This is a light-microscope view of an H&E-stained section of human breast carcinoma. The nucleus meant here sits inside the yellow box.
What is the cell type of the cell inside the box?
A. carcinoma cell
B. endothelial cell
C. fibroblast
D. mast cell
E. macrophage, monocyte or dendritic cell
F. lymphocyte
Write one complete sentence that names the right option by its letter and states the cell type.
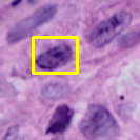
The statement that the cell inside the box is a macrophage, monocyte or dendritic cell corresponds to option E, the correct one.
